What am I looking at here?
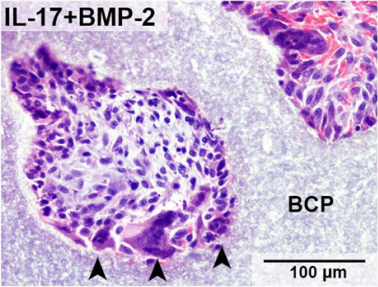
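Here a rounded island of cellular connective tissue fills a pore in the scaffold, whose material appears as a pale lilac, finely granular mass all around. The tissue is crowded with cells whose oval to spindle-shaped nuclei stain dark purple, set in a faint pink matrix. Along the lower border, where the tissue meets the scaffold, lie several large cells, each holding a number of nuclei in an ample purple cytoplasm; these multinucleated cells resemble osteoclasts pressed against the material surface. Another cell-rich piece of tissue is cut at the upper right corner.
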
